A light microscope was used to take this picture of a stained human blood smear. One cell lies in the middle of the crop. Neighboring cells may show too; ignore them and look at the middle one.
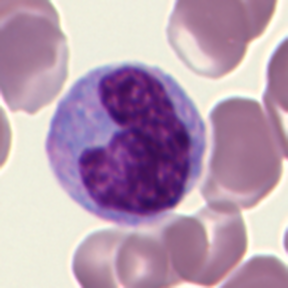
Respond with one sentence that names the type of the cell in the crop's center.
By type, the central cell of the crop is a monocyte.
